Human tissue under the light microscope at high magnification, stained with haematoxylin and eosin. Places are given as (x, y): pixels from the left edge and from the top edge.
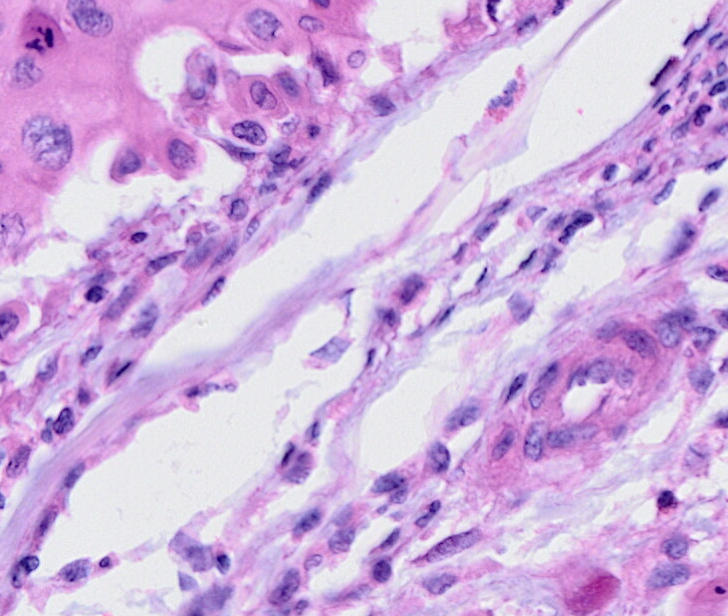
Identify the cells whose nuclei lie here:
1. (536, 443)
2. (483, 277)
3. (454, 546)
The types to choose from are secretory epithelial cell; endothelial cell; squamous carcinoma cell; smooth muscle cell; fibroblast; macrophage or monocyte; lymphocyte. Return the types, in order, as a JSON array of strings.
["smooth muscle cell", "fibroblast", "fibroblast"]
